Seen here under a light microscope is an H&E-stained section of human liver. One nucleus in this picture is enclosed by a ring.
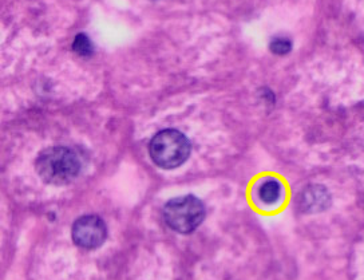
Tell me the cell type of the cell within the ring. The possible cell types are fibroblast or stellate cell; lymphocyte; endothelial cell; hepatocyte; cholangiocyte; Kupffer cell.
lymphocyte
